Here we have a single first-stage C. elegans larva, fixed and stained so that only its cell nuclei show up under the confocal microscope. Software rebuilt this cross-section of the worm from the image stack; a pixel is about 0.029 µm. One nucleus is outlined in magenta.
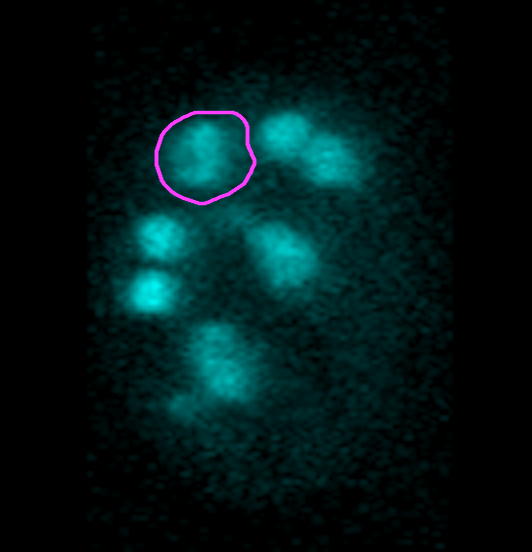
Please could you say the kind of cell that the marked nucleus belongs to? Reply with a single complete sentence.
This is the nucleus of a cell of the excretory system.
